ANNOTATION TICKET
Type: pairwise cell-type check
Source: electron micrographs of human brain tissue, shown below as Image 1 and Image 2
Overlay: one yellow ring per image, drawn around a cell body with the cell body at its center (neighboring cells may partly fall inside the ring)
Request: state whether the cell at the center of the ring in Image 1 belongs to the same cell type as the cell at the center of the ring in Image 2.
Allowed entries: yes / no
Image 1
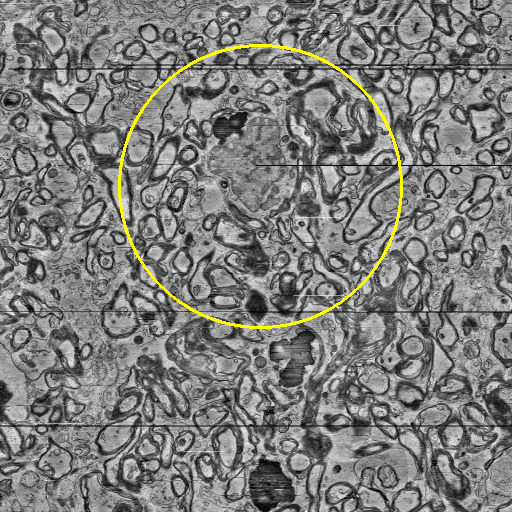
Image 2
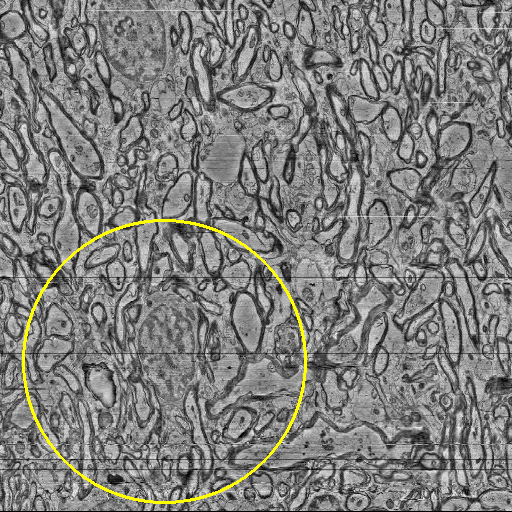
yes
